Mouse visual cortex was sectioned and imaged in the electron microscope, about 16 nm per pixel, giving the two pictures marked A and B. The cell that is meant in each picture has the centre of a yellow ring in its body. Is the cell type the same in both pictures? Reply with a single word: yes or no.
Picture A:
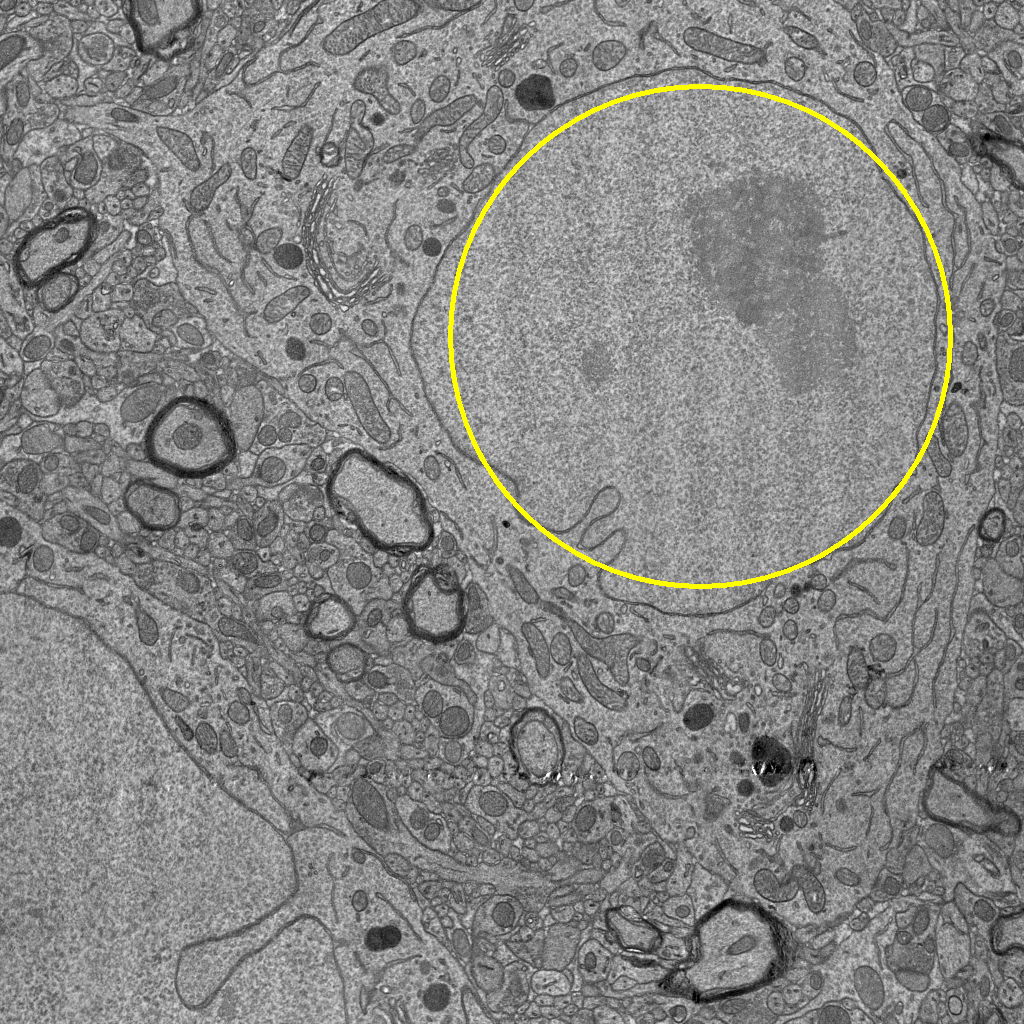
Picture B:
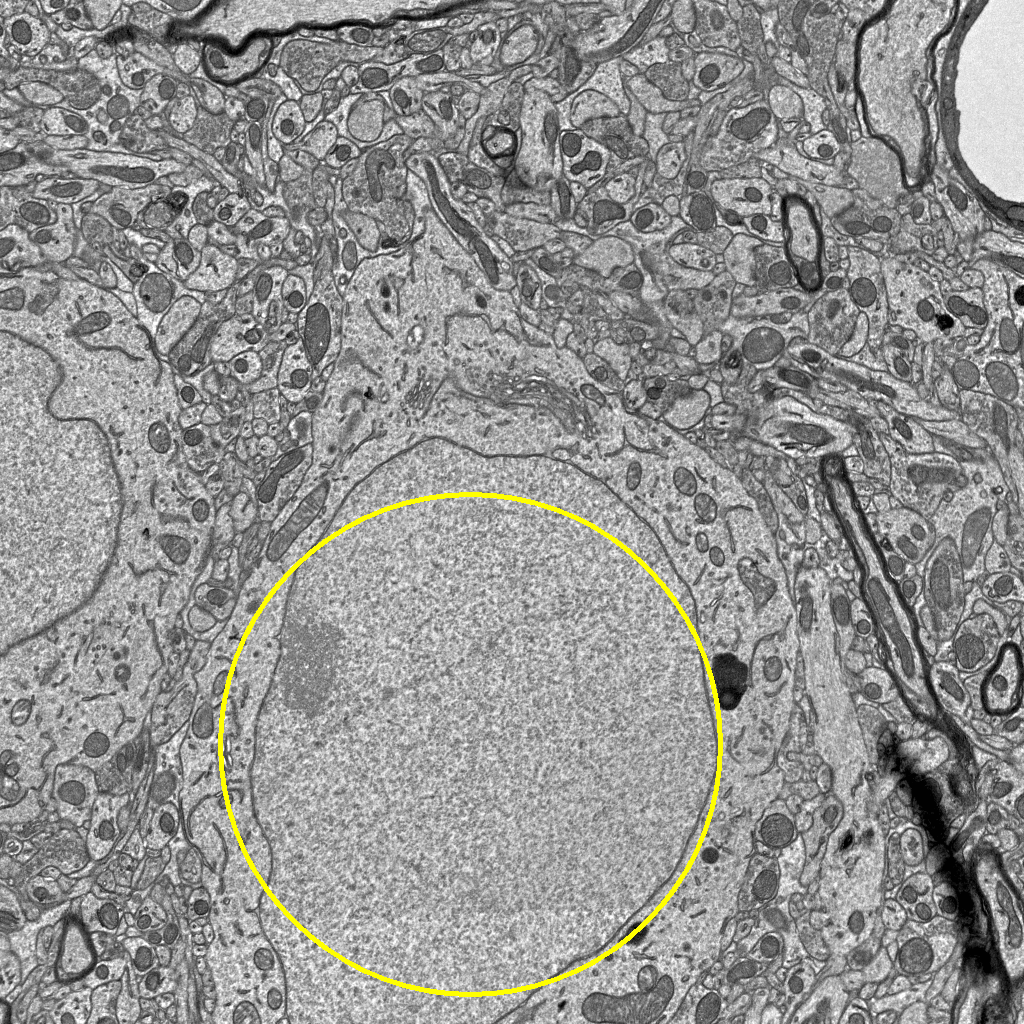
no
